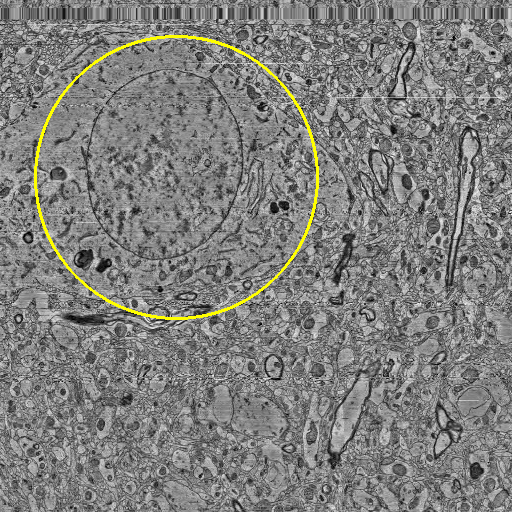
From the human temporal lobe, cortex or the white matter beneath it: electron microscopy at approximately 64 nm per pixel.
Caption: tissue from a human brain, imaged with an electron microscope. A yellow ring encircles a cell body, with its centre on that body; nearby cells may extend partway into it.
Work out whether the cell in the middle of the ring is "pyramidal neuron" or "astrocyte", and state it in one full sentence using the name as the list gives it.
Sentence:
In the picture, the cell that the yellow ring surrounds at its centre is a pyramidal neuron.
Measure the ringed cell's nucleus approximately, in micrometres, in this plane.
Roughly 13 by 10 micrometres is the size of the nucleus in this plane.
